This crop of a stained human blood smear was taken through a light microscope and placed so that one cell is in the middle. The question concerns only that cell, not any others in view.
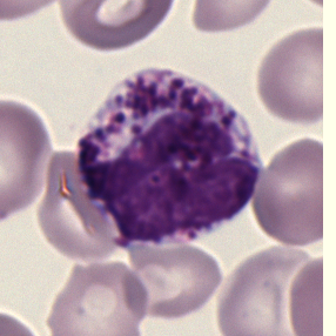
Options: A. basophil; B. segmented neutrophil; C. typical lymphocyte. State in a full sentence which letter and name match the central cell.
The centered cell is a basophil, which is why option A is right.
